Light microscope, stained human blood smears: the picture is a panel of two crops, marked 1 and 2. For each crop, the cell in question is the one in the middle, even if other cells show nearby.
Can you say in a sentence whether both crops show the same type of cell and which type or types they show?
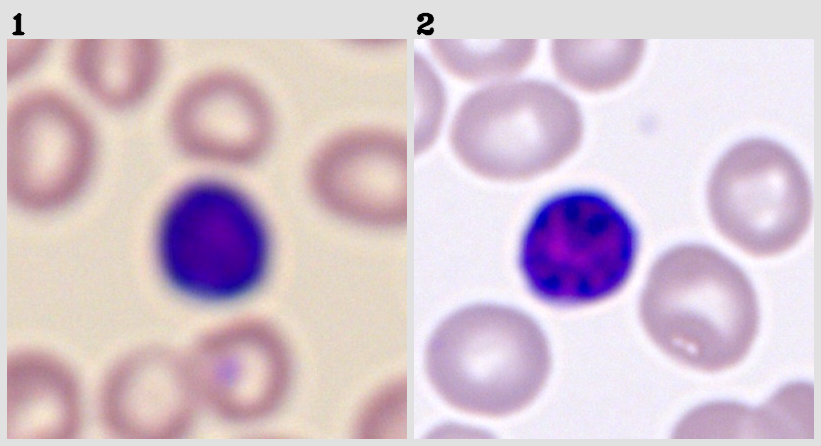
Yes, the cells at the centre of both crops are lymphocytes.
